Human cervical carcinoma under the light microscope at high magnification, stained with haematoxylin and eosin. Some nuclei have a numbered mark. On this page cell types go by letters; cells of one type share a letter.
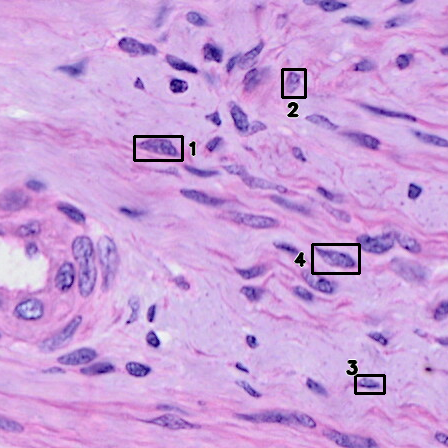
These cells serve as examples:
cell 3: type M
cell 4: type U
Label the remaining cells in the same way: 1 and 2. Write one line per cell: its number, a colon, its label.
1: type U
2: type U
